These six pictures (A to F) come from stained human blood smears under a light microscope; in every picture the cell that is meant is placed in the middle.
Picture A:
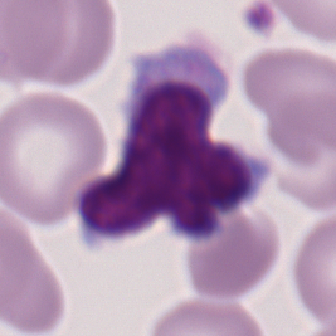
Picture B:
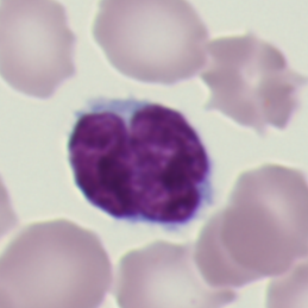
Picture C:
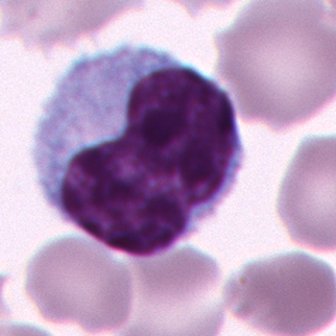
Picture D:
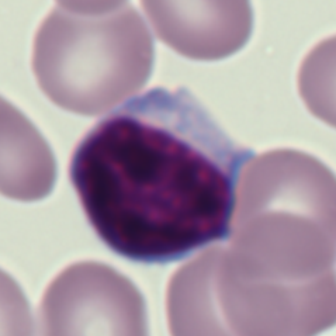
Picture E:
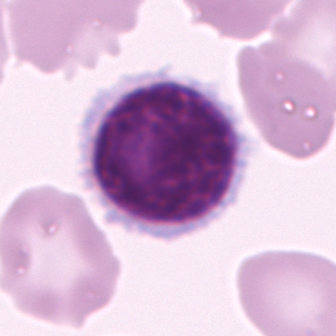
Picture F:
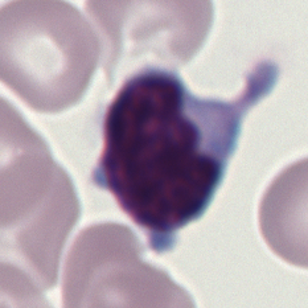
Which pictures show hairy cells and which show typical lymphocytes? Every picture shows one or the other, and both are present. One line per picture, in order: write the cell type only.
typical lymphocyte
hairy cell
typical lymphocyte
typical lymphocyte
hairy cell
typical lymphocyte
